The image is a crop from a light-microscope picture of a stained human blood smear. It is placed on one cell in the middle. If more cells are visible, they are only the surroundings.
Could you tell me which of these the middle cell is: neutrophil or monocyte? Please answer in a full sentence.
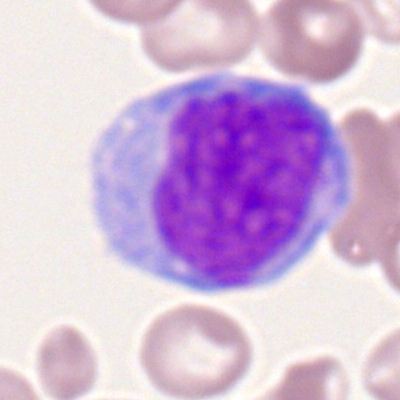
The cell occupying the middle of the crop is a monocyte.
